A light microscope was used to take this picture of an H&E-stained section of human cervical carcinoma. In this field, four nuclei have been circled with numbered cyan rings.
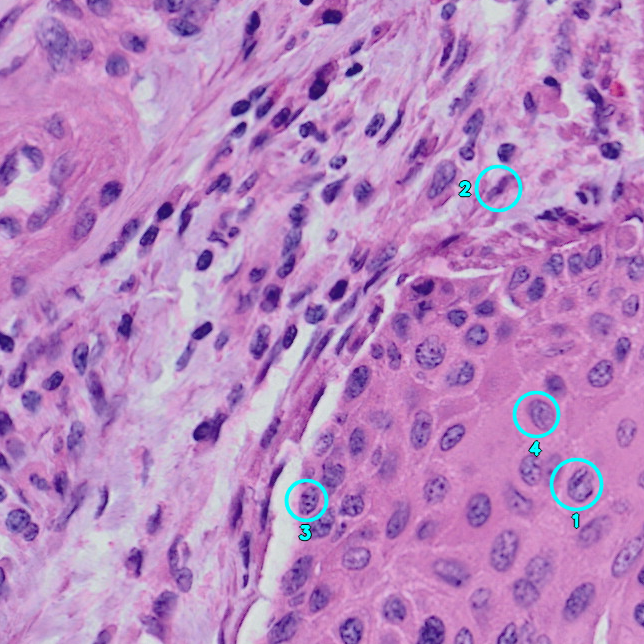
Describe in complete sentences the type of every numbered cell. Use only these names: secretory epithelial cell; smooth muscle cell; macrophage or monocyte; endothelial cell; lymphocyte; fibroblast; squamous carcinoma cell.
Cell 1 is a squamous carcinoma cell, cell 2 is a fibroblast, cell 3 is a squamous carcinoma cell and cell 4 is a squamous carcinoma cell.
